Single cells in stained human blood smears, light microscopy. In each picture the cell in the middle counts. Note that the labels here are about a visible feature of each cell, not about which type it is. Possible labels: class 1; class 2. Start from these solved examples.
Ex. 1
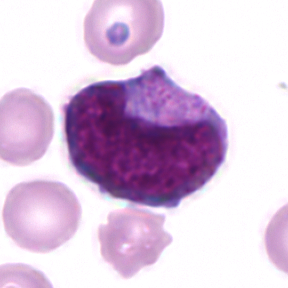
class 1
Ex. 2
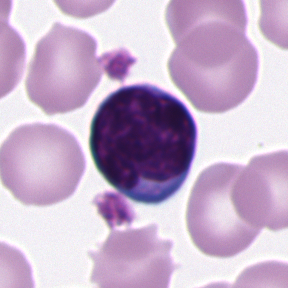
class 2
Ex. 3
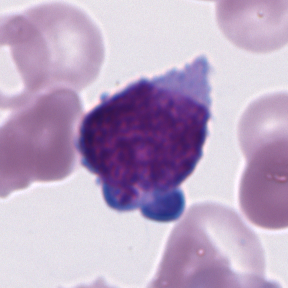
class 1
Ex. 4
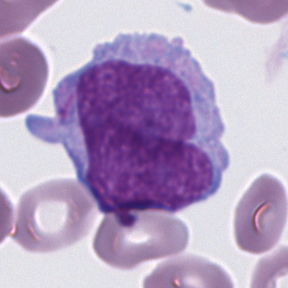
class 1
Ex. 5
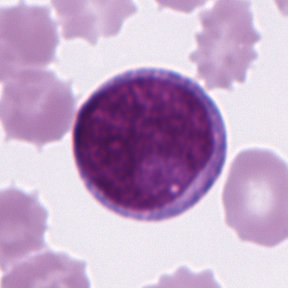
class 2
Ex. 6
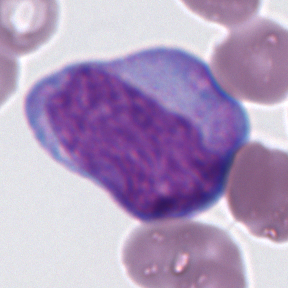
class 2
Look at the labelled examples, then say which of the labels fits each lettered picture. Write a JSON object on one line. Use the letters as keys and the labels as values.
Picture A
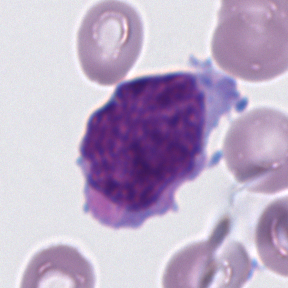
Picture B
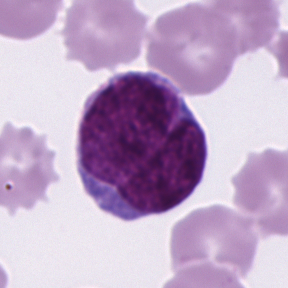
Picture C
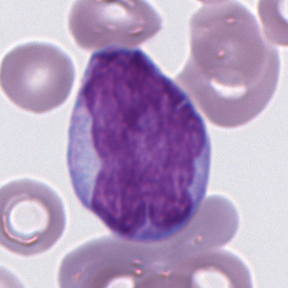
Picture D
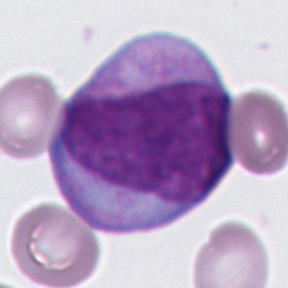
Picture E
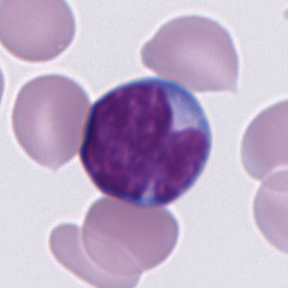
{"A": "class 1", "B": "class 2", "C": "class 2", "D": "class 2", "E": "class 2"}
